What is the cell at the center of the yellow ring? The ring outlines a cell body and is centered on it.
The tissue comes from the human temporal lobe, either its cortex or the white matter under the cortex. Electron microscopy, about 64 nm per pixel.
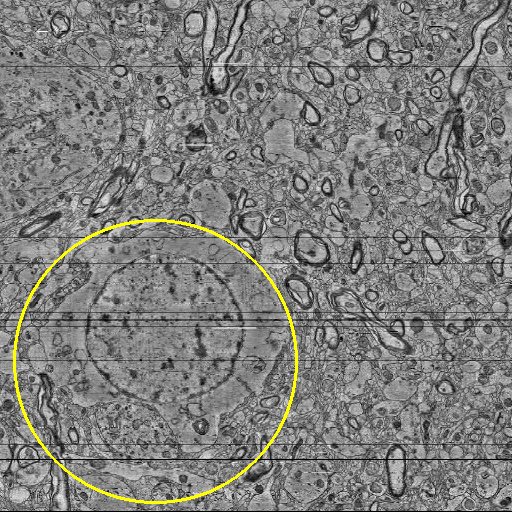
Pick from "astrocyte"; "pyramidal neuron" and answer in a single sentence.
The yellow ring is centered on an astrocyte.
